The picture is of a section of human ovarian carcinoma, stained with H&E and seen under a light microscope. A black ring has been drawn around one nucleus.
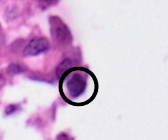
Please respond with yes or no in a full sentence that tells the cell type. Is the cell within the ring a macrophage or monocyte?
No, a macrophage or monocyte is not what the cell within the ring is; it is a carcinoma cell.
